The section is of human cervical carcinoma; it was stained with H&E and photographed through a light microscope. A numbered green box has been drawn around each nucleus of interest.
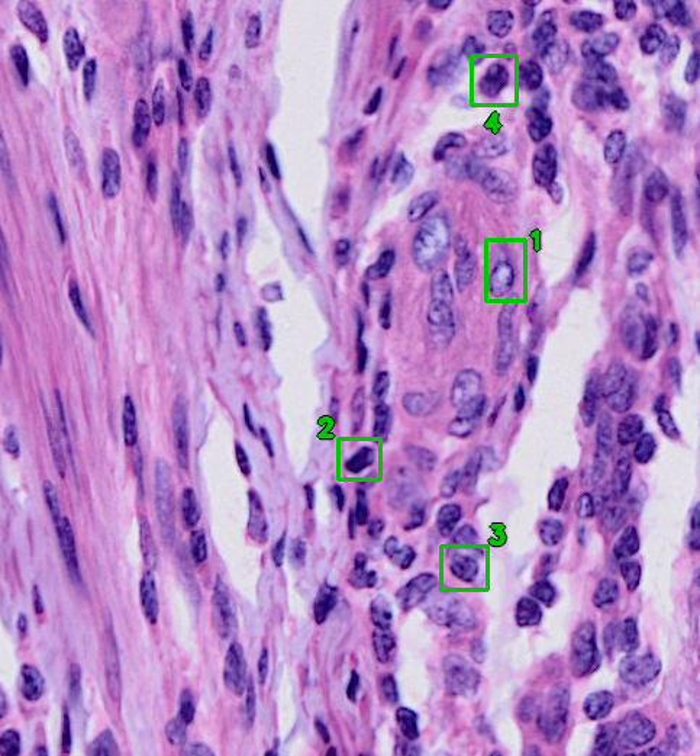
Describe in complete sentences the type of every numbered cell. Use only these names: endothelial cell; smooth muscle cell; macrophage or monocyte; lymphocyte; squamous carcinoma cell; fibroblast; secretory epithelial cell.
Cell 1 is a smooth muscle cell. Cells 2, 3 and 4 are lymphocytes.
